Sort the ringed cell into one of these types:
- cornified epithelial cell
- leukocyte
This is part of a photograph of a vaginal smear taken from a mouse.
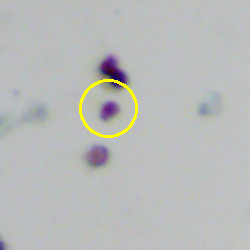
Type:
leukocyte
